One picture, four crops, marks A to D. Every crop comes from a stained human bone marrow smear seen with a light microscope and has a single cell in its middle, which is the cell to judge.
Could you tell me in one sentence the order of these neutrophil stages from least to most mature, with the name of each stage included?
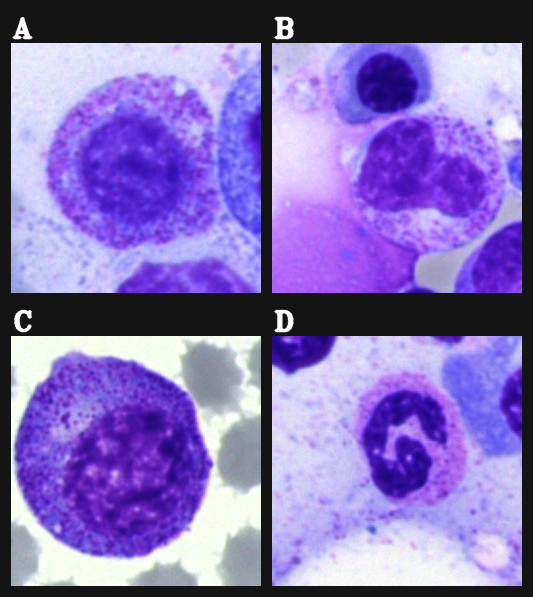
The sequence from earliest to latest maturation stage is crop C (a promyelocyte), crop A (a myelocyte), crop B (a metamyelocyte) and crop D (a segmented neutrophil).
